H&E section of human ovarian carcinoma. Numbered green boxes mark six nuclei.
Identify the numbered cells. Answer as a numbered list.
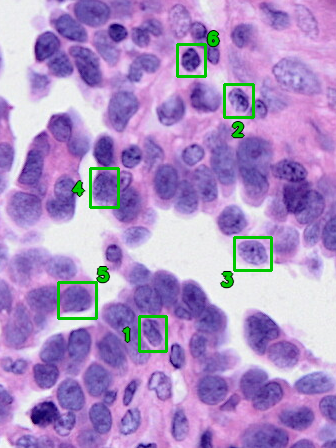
1. macrophage or monocyte
2. lymphocyte
3. macrophage or monocyte
4. carcinoma cell
5. carcinoma cell
6. lymphocyte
